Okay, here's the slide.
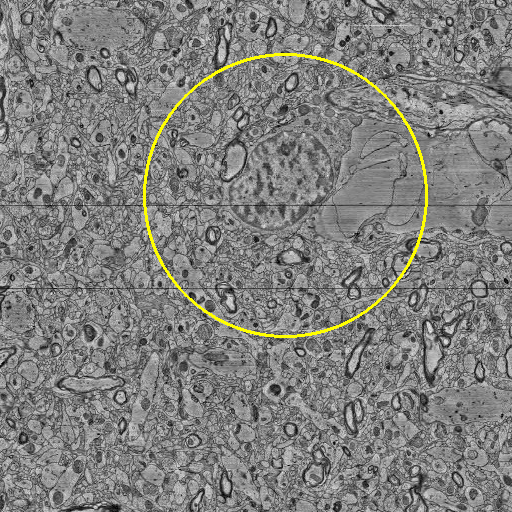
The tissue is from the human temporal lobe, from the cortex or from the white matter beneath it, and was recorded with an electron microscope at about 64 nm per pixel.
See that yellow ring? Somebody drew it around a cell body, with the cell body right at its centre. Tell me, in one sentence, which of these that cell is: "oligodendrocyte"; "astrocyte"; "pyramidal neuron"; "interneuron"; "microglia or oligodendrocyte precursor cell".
The cell in the middle of the ring is an oligodendrocyte.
